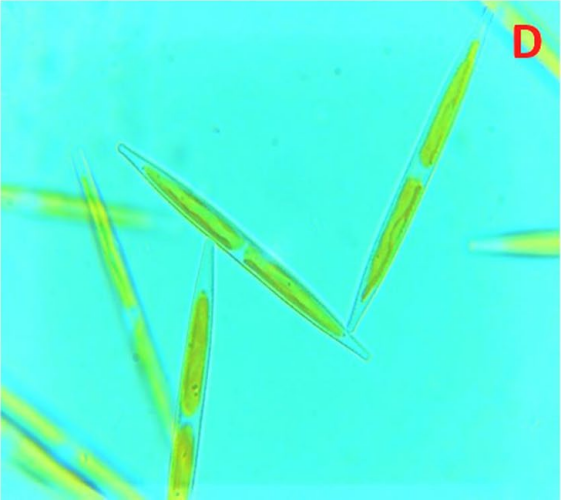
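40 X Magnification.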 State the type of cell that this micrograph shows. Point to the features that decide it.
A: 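Elongated, spindle-shaped cells tapering to pointed ends. Each cell is enclosed in a clear, rigid-looking wall. Golden-brown plastids lie along the length of each cell.
Answer: Diatom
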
